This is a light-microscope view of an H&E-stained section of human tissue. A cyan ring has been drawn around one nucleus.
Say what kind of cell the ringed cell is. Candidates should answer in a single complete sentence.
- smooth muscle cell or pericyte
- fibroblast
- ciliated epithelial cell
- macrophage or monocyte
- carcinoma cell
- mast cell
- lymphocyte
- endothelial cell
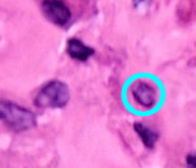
Recorded by type, the ringed cell is a mast cell.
